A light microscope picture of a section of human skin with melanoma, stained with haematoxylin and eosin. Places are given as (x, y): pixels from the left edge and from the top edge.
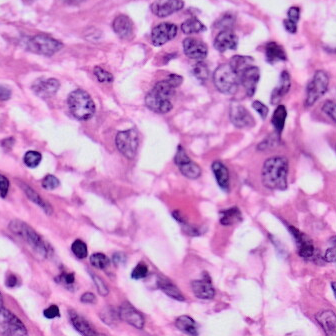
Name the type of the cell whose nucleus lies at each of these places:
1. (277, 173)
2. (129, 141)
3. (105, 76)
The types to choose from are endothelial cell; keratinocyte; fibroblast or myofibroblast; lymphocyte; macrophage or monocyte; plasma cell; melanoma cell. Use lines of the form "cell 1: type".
cell 1: melanoma cell
cell 2: melanoma cell
cell 3: macrophage or monocyte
